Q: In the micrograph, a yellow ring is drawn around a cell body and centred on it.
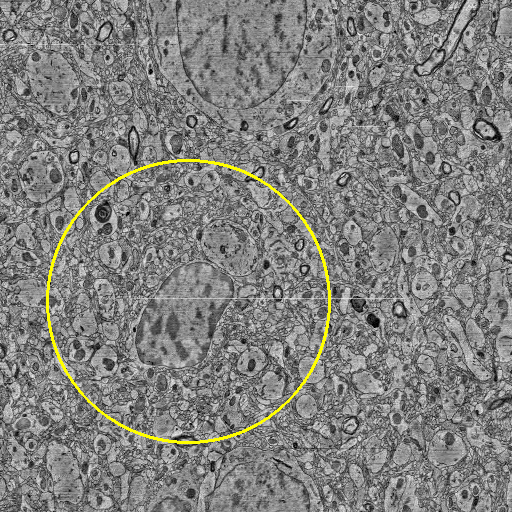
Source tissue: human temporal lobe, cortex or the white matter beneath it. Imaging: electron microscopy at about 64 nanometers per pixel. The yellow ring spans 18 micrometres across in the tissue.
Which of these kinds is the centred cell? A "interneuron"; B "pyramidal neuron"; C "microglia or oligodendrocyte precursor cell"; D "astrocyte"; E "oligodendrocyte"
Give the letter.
C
